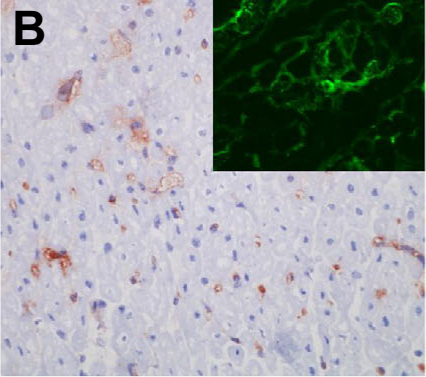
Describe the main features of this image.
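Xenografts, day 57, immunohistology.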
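Heart muscle is seen in cross and oblique section, with pale blue-grey muscle fibres and scattered small blue nuclei. Brown stain is concentrated in small rounded and ring-like structures scattered between the muscle fibres, consistent with small vessels in the interstitium. Some brown-stained profiles outline larger irregular spaces, and dotted brown deposits lie beside many nuclei. The muscle fibres themselves are largely unstained. In the upper right inset, green fluorescence outlines a network of thin, ring- and strand-like structures on a dark background.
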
